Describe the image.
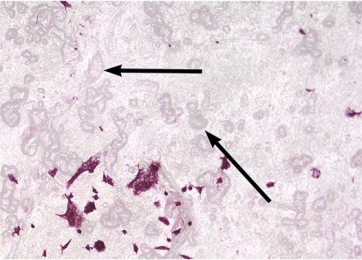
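A bone slice seen from above carries several large, irregularly shaped, dark purple-stained osteoclasts together with smaller purple cells. Around them the pale bone surface is marked by many rounded, outlined resorption pits, several of which join into winding trails.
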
